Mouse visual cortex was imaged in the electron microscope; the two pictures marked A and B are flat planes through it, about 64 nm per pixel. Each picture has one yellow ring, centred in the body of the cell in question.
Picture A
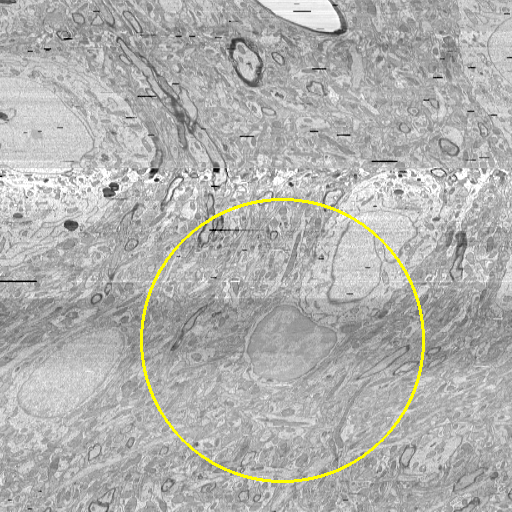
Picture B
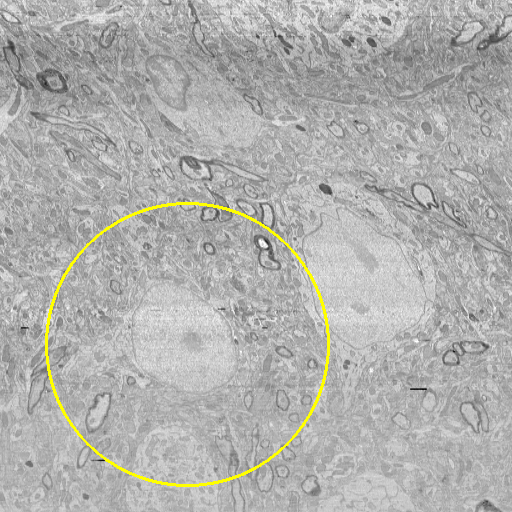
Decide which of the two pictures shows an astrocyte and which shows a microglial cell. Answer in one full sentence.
Picture A shows a microglial cell and picture B shows an astrocyte.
